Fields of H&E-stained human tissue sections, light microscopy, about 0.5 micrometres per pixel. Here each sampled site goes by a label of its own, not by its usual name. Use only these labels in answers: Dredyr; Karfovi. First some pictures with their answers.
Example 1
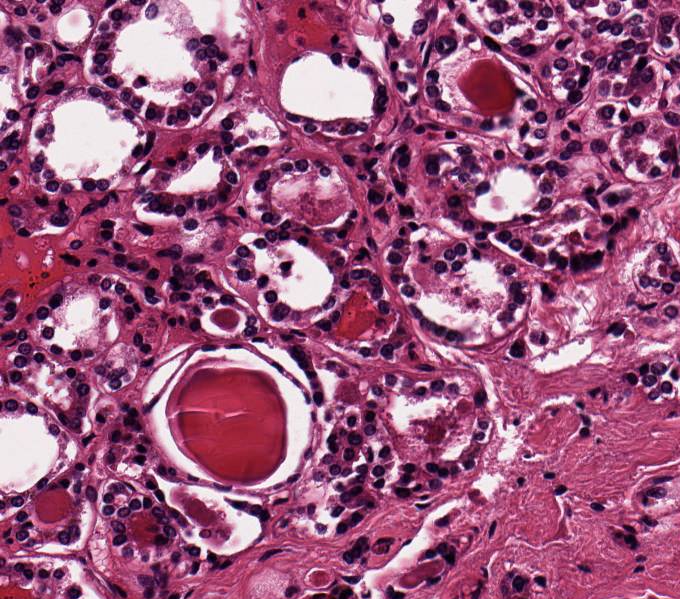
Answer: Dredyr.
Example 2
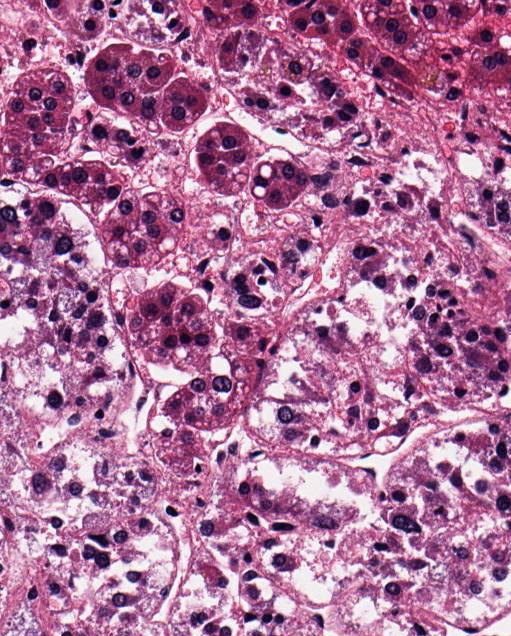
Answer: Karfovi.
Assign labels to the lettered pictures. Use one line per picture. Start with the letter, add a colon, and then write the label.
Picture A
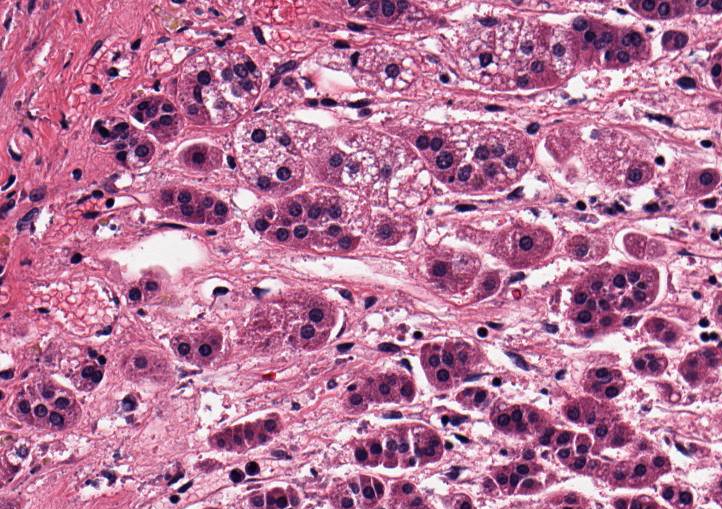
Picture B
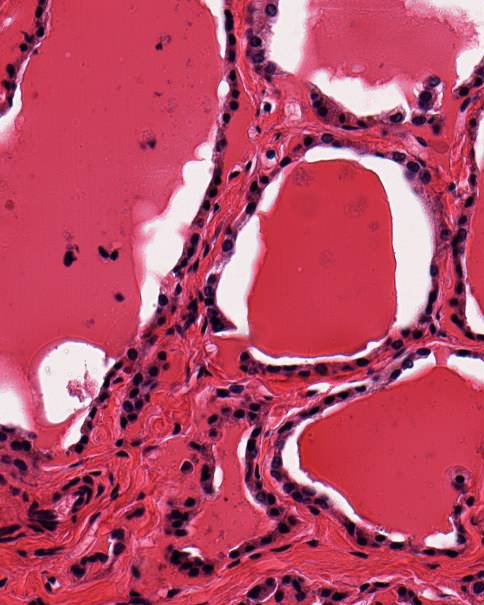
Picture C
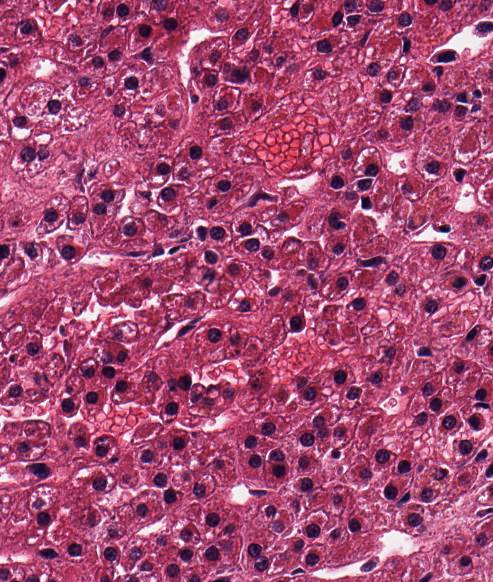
A: Karfovi.
B: Dredyr.
C: Karfovi.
